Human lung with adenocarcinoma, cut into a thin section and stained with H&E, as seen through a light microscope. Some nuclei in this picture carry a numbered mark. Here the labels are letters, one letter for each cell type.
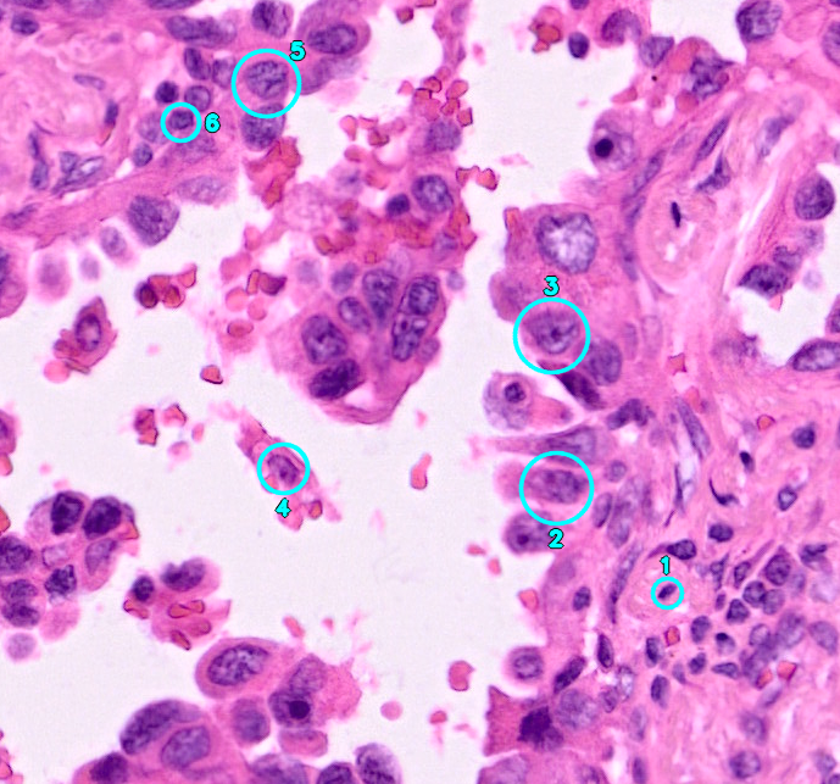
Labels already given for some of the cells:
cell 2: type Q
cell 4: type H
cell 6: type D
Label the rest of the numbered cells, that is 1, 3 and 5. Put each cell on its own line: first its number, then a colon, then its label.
1: type D
3: type Q
5: type Q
